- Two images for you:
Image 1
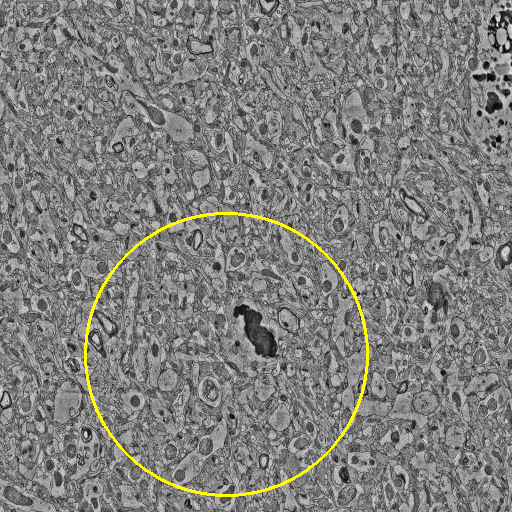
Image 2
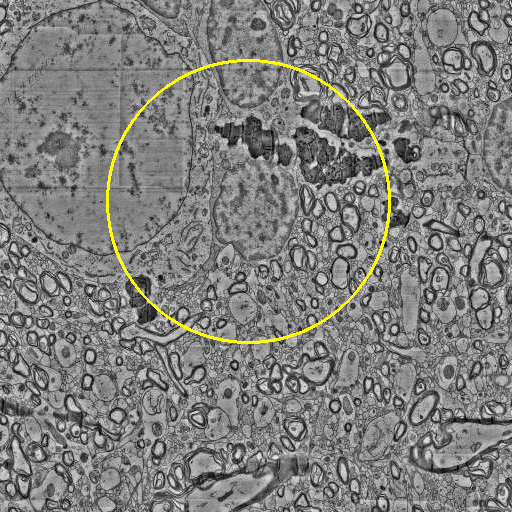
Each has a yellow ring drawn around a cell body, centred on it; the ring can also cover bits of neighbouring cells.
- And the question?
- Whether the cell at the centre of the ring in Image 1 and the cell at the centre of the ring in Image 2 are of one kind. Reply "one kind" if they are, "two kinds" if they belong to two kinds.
one kind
